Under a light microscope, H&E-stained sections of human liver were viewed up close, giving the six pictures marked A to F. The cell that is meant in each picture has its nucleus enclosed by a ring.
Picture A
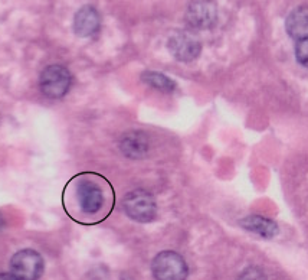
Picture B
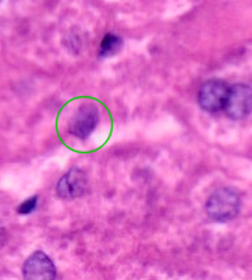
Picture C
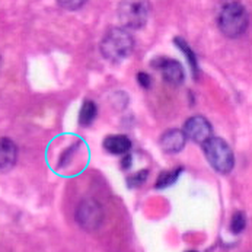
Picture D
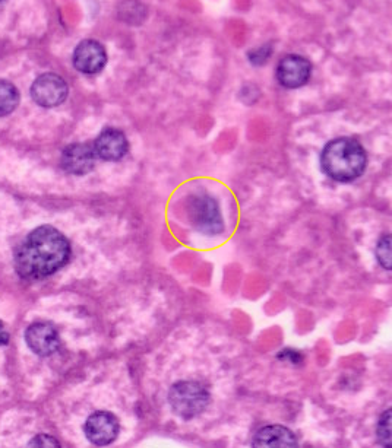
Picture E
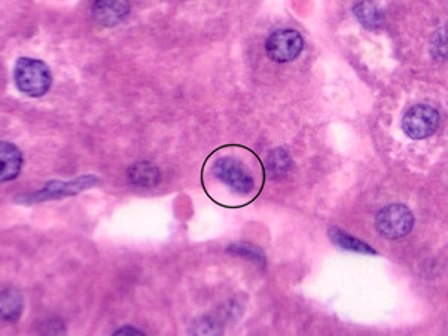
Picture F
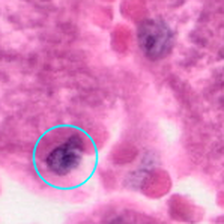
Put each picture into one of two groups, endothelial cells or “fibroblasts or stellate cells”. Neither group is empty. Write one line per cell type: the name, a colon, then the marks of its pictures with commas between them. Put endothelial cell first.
endothelial cell: B, D
fibroblast or stellate cell: A, C, E, F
